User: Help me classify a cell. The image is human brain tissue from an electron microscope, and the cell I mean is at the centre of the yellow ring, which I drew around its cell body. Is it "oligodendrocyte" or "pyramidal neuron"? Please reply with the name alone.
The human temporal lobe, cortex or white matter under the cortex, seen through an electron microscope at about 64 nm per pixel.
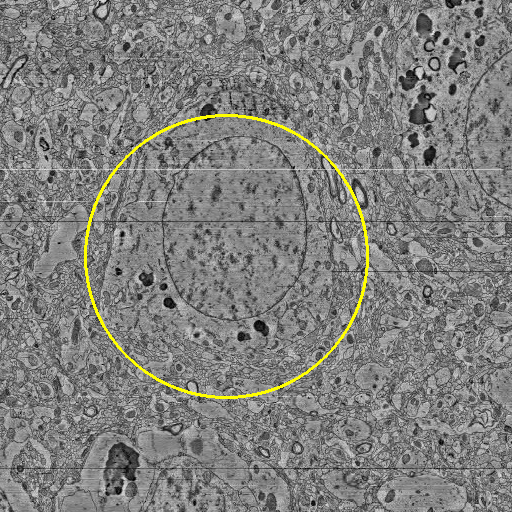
pyramidal neuron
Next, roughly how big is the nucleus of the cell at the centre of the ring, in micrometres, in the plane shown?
The nucleus of the ringed cell is approximately 12 by 9 micrometres in this plane.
